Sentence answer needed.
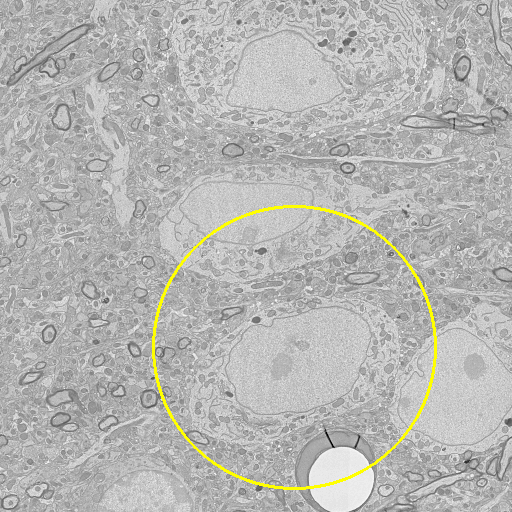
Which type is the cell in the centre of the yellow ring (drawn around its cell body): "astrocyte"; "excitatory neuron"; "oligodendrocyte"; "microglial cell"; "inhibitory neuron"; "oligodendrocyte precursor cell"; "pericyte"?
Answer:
In the centre of the yellow ring is an inhibitory neuron.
